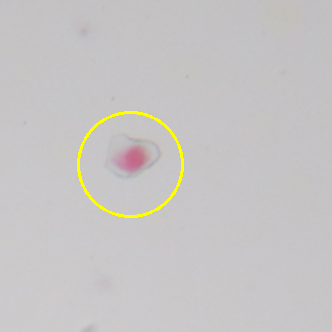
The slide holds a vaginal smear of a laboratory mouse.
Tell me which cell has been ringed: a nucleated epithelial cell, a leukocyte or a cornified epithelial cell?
It is a nucleated epithelial cell.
